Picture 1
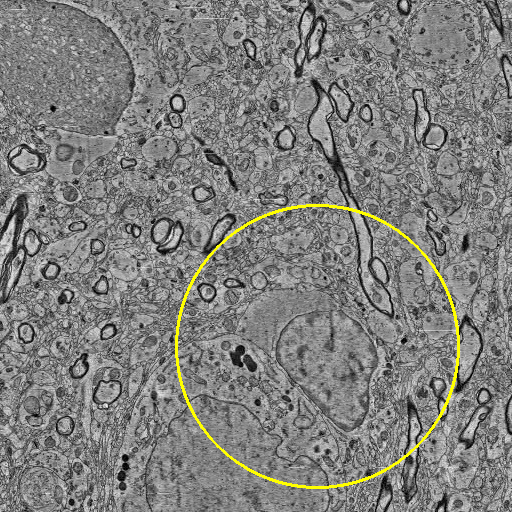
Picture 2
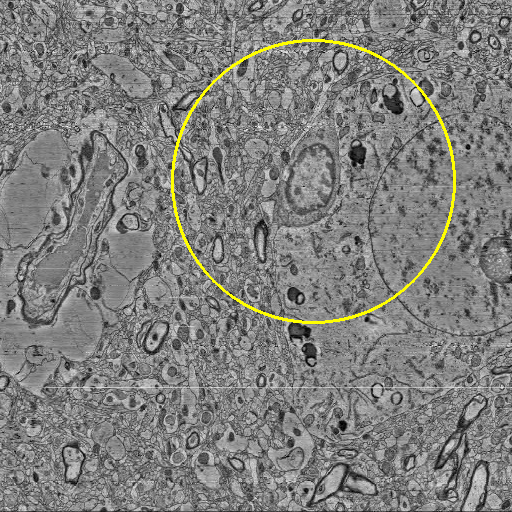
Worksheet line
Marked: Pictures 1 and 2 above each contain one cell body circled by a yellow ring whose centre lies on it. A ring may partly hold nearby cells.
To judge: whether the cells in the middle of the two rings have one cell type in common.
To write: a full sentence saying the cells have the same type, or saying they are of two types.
The cells in the middle of the rings in Picture 1 and Picture 2 are of two types.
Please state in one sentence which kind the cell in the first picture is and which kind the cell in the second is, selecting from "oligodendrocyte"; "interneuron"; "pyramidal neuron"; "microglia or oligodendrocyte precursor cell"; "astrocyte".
The first ringed cell is a microglial cell or oligodendrocyte precursor cell, the second ringed cell an oligodendrocyte.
